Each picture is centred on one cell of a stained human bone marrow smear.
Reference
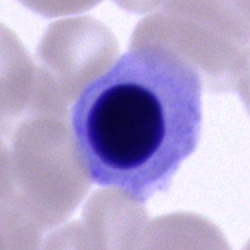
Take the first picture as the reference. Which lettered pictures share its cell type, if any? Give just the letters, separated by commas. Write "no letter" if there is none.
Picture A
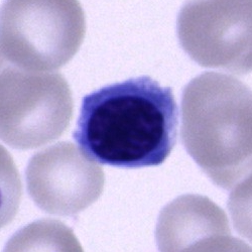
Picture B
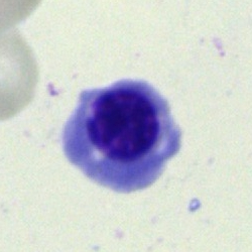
A, B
